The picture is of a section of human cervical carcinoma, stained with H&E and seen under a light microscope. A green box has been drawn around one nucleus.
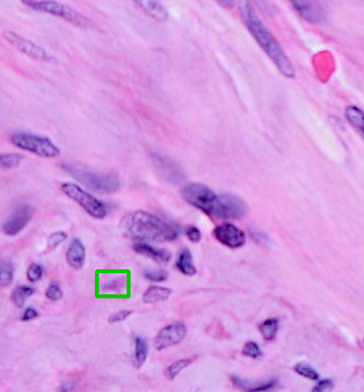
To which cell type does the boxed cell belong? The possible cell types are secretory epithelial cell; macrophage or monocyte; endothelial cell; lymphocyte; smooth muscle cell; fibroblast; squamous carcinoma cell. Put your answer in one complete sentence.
By cell type, the boxed cell is a smooth muscle cell.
